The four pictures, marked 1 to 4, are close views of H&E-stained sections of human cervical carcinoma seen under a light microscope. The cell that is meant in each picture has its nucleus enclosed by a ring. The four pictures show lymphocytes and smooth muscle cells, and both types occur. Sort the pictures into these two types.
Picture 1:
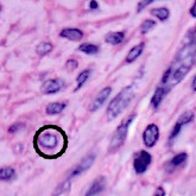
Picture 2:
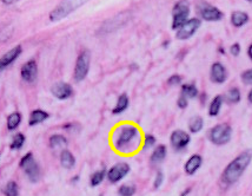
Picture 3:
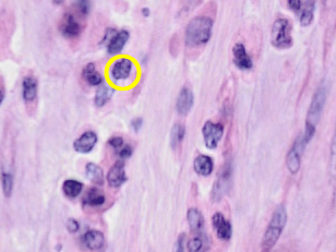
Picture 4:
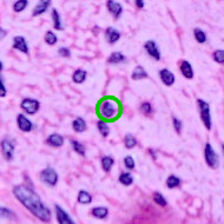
1: smooth muscle cell
2: smooth muscle cell
3: lymphocyte
4: smooth muscle cell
